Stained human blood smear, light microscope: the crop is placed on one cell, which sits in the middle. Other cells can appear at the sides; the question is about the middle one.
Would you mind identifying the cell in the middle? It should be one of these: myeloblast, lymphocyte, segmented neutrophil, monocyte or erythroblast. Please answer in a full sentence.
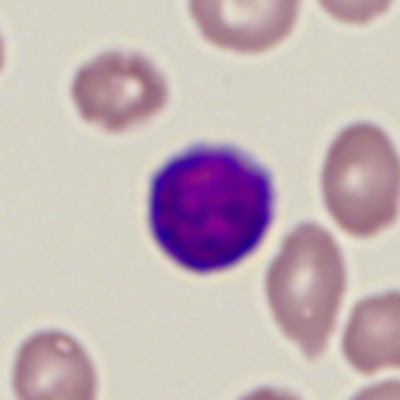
Here the cell in the middle is a lymphocyte.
